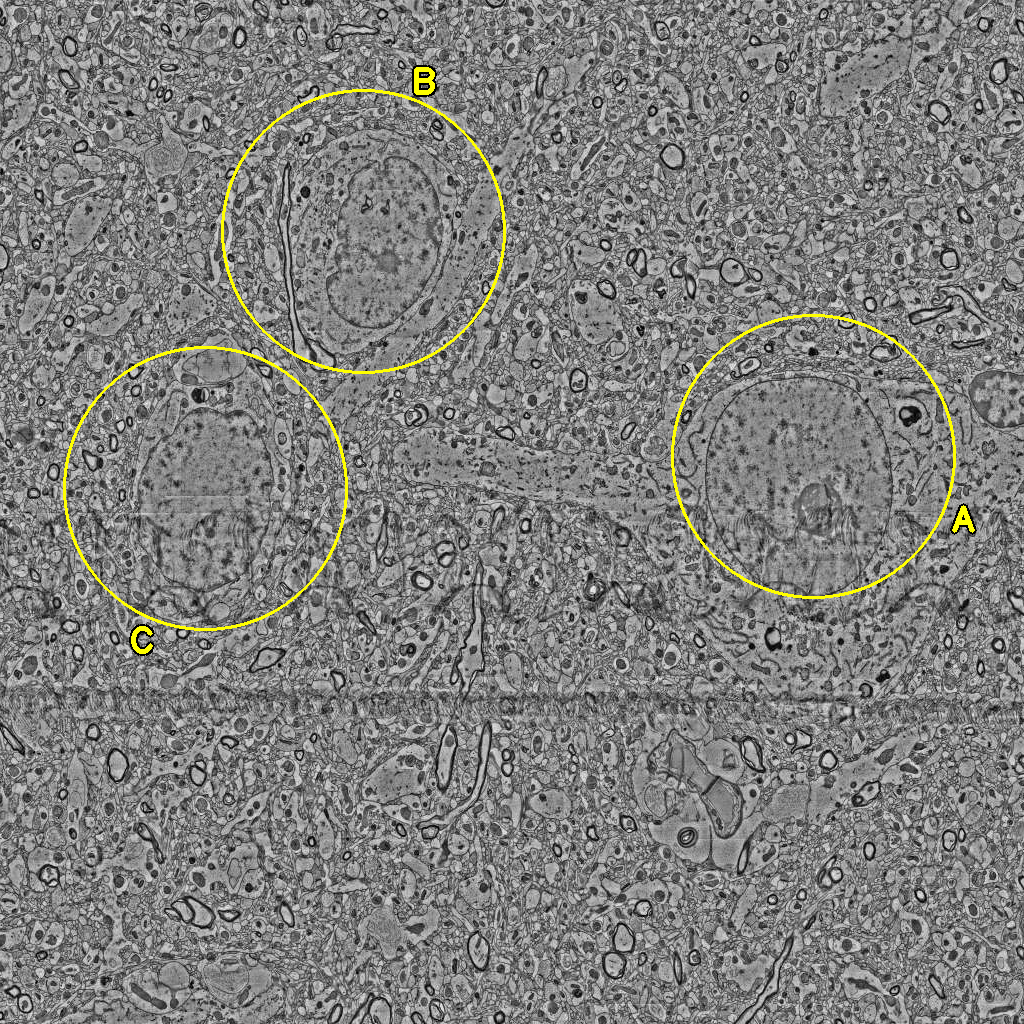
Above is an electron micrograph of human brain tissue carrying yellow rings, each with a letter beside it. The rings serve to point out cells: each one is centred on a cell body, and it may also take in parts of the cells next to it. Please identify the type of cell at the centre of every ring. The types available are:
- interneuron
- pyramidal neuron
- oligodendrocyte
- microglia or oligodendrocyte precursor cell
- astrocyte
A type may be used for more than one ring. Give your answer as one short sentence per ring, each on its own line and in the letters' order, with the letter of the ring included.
Ring A points to the cell body of a pyramidal neuron.
Ring B points to the cell body of an interneuron.
Ring C points to the cell body of an interneuron.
